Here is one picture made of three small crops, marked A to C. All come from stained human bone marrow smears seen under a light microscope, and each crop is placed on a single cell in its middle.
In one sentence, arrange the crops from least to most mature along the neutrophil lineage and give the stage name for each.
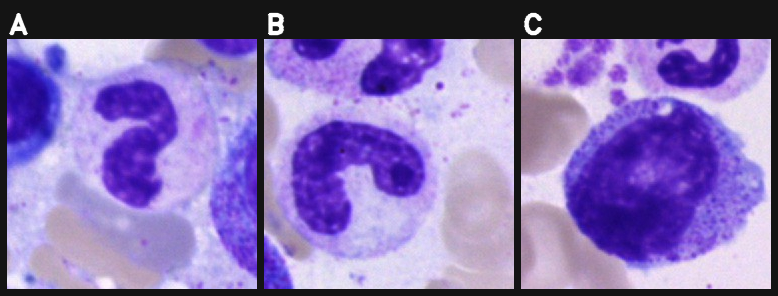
In terms of maturity, from lowest to highest, the order reads crop C (a promyelocyte), crop B (a band neutrophil) and crop A (a segmented neutrophil).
